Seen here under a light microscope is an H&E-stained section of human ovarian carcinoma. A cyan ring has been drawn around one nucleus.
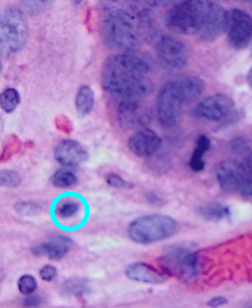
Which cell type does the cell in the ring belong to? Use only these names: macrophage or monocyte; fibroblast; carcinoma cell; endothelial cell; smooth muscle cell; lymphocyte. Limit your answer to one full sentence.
By cell type, the cell in the ring is a lymphocyte.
